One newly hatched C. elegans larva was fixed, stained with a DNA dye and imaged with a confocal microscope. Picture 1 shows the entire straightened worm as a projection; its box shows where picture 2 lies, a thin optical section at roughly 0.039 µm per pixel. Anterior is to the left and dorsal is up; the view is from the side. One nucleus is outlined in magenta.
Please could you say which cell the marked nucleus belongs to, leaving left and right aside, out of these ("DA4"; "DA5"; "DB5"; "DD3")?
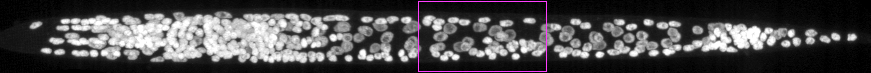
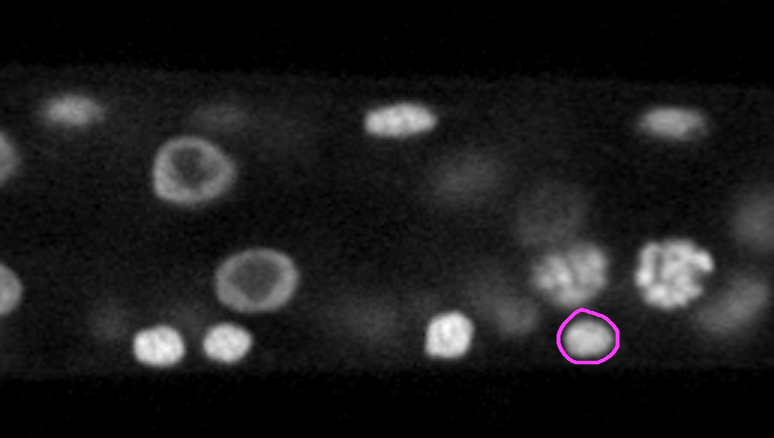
DA5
